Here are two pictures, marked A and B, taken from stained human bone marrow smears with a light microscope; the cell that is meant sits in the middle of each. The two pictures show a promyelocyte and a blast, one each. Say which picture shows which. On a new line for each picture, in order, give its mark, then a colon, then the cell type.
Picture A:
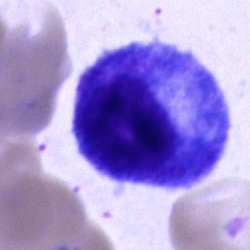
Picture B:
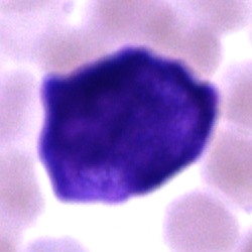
A: promyelocyte
B: blast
